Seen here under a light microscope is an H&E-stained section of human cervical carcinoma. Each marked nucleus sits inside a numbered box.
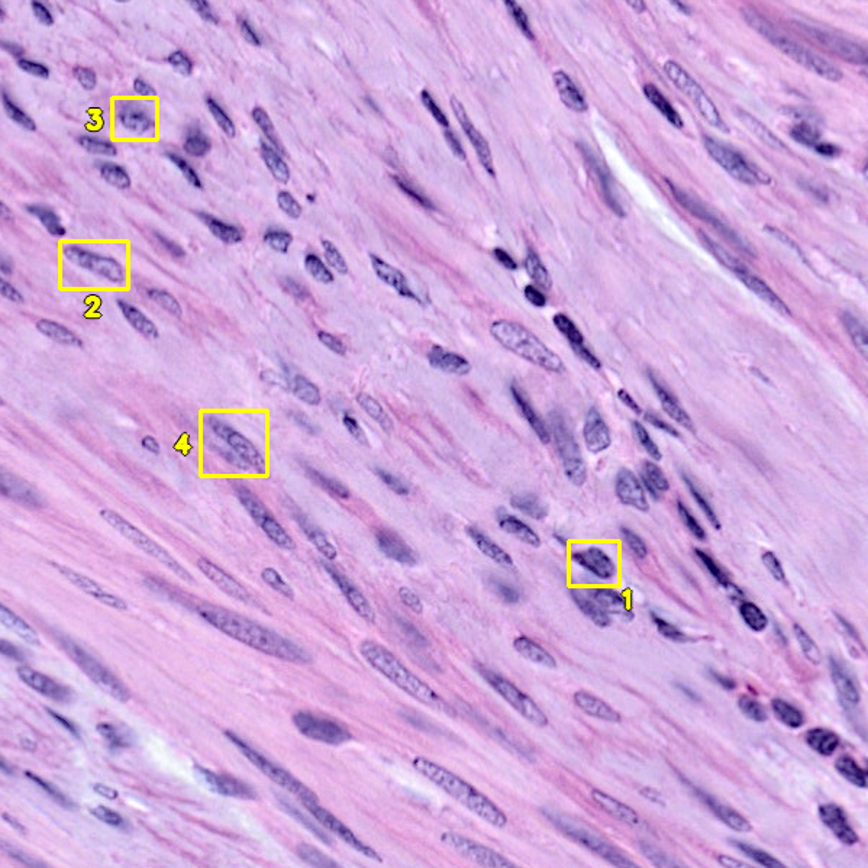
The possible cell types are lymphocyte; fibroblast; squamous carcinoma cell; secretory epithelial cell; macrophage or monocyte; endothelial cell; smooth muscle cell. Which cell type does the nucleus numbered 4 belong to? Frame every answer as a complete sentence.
Cell number 4 in this section is a smooth muscle cell.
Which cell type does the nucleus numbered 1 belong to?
Number 1 among the marked cells is a lymphocyte.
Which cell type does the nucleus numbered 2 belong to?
The cell whose nucleus carries the number 2 is a smooth muscle cell.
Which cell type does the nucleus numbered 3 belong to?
Denoted by the label 3 in the section is a smooth muscle cell.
